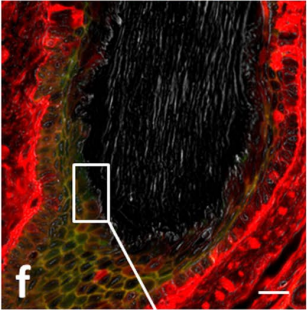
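This is the lower end of a club hair follicle, with the brush-like keratinized club filling the middle as a grey, finely streaked mass. Around it lies a cup of epithelial cells whose borders are outlined in red, with yellowish-green outlines in the layers nearest the club at its base. The cells are small and polygonal, packed in several layers, and the outer layers and surrounding tissue carry strong red outlines. The club itself takes up no colour.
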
